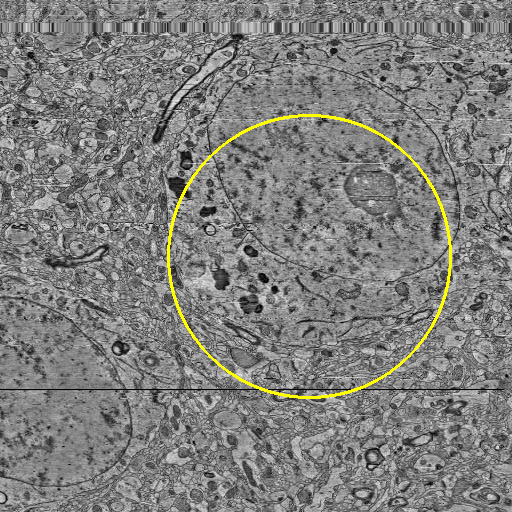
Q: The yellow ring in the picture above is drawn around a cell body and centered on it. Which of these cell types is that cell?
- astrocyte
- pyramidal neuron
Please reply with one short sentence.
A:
The cell body at the ring's center belongs to a pyramidal neuron.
